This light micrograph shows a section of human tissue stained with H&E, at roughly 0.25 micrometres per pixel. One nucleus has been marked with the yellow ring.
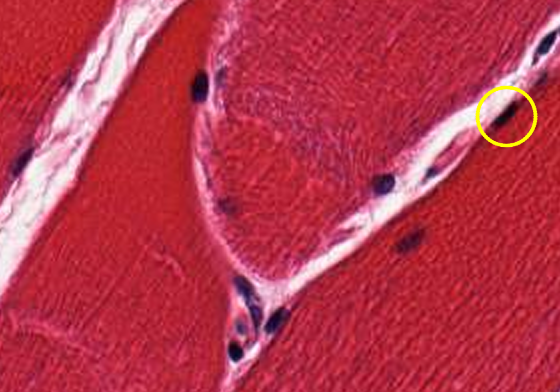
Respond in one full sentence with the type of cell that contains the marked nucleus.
The marked nucleus is a nucleus of a skeletal muscle fibre.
